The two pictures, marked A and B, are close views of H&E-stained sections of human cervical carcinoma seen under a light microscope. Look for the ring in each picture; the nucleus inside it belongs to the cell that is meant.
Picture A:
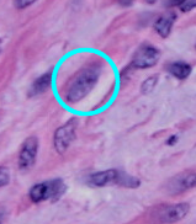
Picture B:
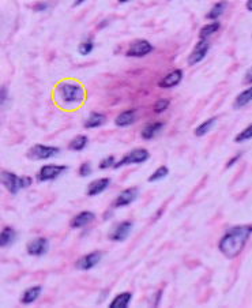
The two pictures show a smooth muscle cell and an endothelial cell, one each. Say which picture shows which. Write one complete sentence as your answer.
The cell in picture A is an endothelial cell, and the one in picture B is a smooth muscle cell.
